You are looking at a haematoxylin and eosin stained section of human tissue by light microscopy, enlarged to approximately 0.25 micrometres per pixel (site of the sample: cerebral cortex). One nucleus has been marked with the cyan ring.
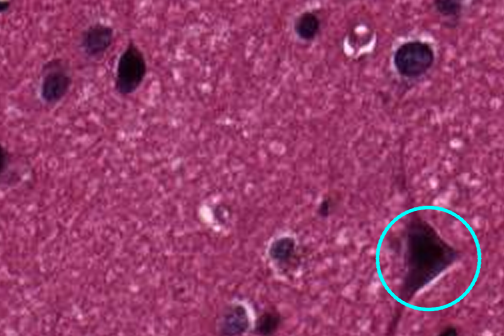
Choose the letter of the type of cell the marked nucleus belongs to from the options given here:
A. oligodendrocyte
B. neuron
B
